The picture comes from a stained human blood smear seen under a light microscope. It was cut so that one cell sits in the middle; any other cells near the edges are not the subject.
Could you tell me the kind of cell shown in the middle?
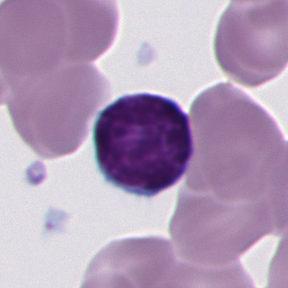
typical lymphocyte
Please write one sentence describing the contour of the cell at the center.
You can see a smooth boundary, with no projections sticking out.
